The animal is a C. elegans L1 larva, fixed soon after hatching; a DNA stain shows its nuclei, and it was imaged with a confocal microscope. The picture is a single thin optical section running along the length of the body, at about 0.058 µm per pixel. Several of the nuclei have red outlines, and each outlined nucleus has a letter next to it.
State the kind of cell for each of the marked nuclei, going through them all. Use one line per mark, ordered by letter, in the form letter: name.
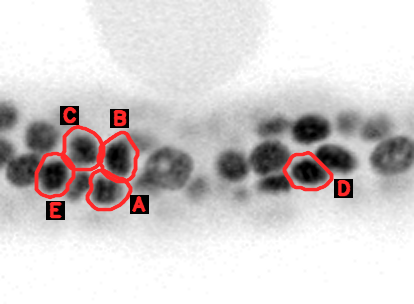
A: glial cell (sheath or socket)
B: neuron
C: neuron
D: glial cell (sheath or socket)
E: neuron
